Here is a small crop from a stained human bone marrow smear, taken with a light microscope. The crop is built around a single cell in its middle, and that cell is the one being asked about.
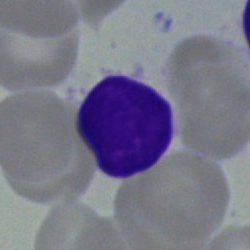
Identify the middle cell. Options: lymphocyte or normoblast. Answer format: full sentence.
In the center of this field lies a lymphocyte.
